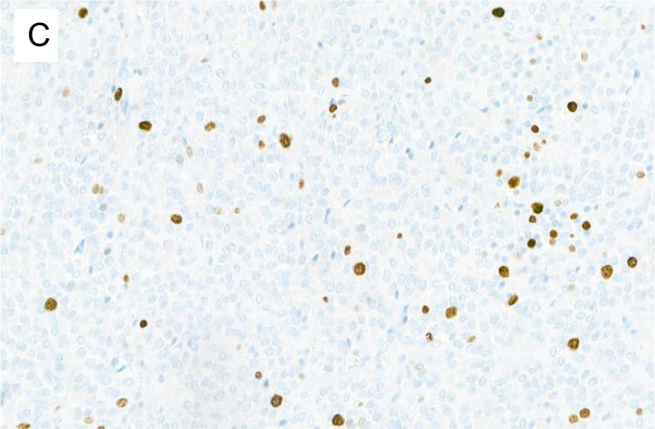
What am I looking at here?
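A dense sheet of tumour cells with round to oval, fairly uniform nuclei fills the field, counterstained pale blue. The cytoplasm is scant and cell borders are indistinct, giving a monotonous, closely packed pattern.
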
